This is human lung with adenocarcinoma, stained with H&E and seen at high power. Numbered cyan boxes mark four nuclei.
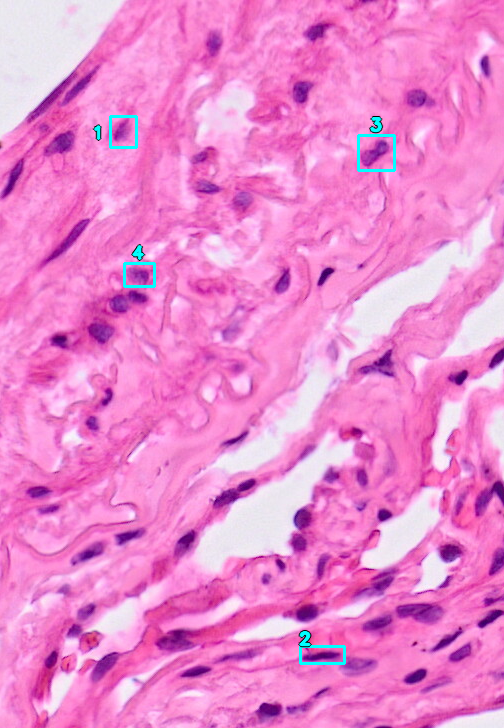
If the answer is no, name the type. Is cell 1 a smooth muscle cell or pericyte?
Yes.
